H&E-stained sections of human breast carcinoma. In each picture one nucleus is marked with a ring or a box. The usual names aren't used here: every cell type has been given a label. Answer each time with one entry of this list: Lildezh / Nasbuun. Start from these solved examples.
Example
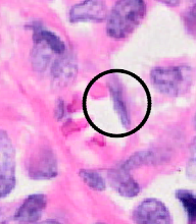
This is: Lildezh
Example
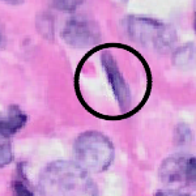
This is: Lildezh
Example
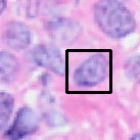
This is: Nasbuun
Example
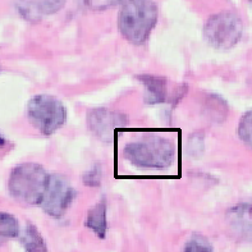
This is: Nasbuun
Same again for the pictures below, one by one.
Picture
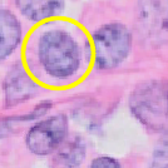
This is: Nasbuun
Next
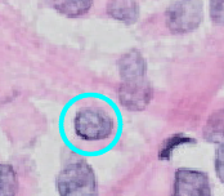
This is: Nasbuun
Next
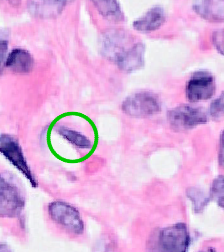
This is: Lildezh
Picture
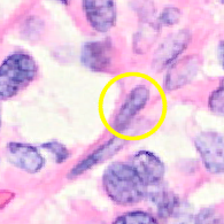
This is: Lildezh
